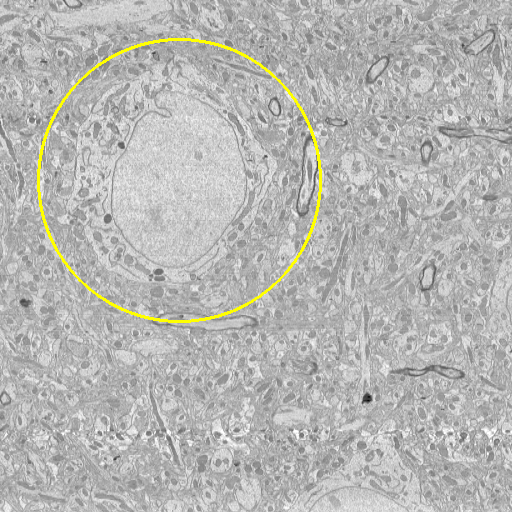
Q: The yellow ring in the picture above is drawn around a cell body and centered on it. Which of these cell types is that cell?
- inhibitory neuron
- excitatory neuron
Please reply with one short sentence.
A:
The cell body at the ring's center belongs to an inhibitory neuron.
